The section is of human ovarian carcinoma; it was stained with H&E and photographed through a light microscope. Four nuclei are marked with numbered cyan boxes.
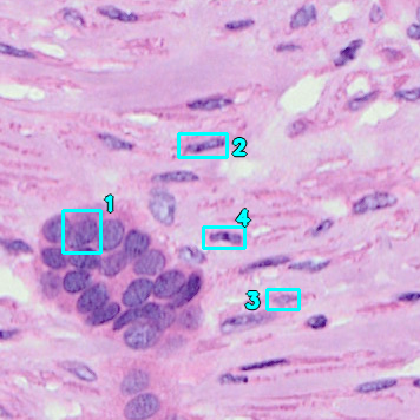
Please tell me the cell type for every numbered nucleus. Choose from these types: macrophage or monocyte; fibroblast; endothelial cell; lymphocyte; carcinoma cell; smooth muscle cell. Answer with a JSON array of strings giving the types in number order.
["carcinoma cell", "fibroblast", "fibroblast", "fibroblast"]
